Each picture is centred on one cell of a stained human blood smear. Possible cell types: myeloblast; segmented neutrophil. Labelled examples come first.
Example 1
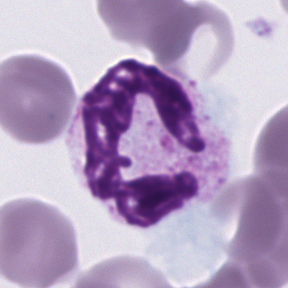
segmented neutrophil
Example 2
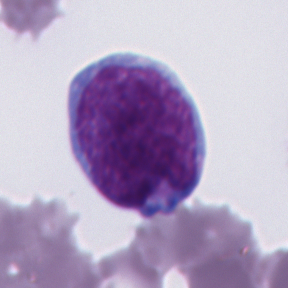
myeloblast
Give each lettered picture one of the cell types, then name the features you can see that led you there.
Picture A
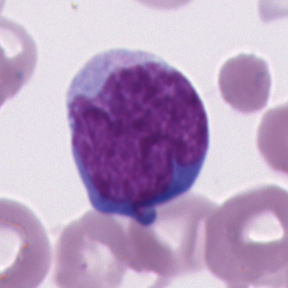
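Answer: myeloblast. The cytoplasm is a narrow rim of deep blue, widest along the lower edge.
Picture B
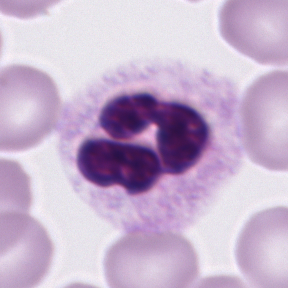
Answer: segmented neutrophil. The nucleus is divided into three lobes.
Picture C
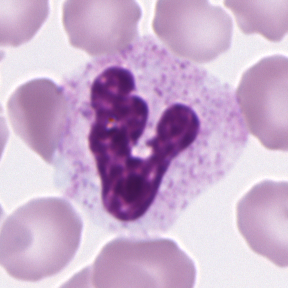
Answer: segmented neutrophil. The nucleus is bent into a V shape whose opening faces upward.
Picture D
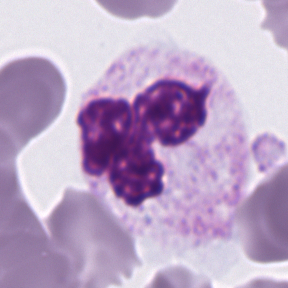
Answer: segmented neutrophil. The nucleus is divided into three lobes.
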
